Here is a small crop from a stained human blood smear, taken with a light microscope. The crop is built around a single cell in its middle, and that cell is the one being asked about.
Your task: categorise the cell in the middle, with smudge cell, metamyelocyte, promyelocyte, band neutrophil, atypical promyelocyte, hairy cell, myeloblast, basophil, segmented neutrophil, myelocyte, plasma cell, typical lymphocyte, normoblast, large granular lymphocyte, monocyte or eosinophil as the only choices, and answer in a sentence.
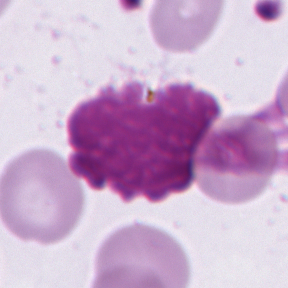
Framed in the middle of the crop is a smudge cell.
